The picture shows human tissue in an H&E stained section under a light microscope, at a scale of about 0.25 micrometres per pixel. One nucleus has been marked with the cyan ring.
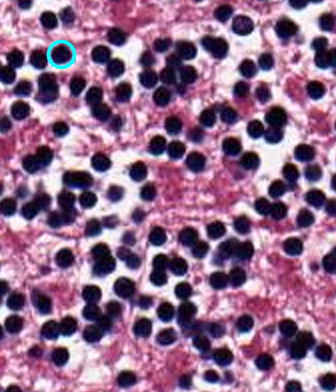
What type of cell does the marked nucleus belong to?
cerebellar granule cell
